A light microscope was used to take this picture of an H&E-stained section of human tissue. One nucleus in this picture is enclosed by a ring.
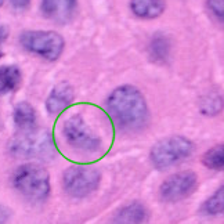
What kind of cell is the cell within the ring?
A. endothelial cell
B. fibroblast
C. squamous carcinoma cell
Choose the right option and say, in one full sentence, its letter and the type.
Option C correctly identifies the cell within the ring as a squamous carcinoma cell.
